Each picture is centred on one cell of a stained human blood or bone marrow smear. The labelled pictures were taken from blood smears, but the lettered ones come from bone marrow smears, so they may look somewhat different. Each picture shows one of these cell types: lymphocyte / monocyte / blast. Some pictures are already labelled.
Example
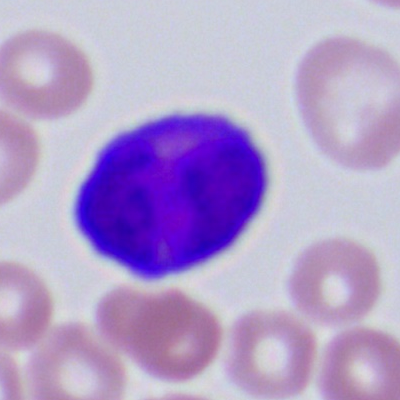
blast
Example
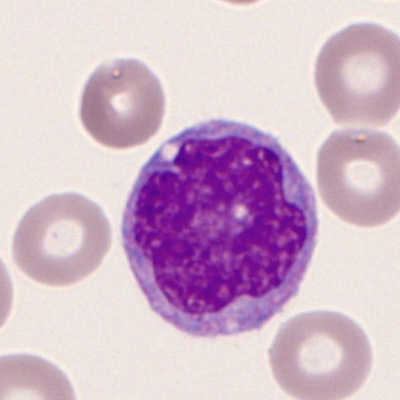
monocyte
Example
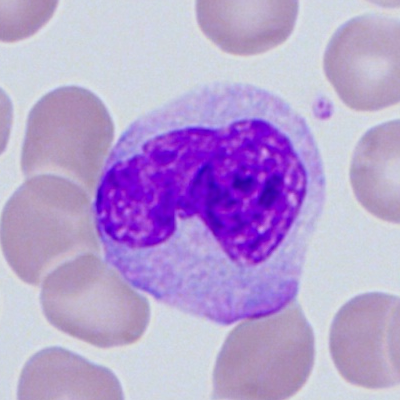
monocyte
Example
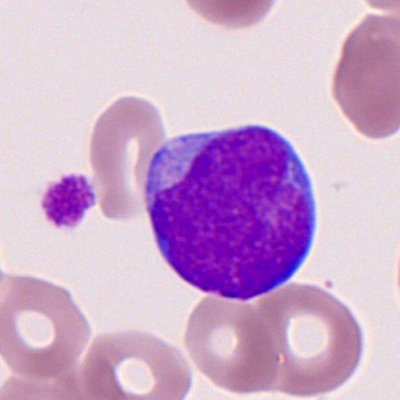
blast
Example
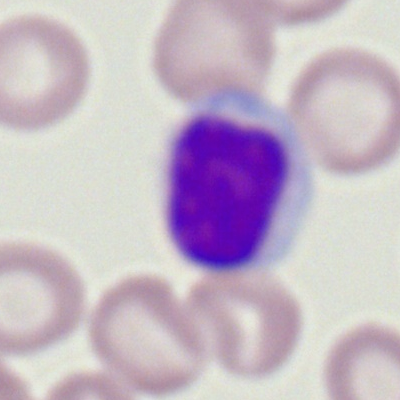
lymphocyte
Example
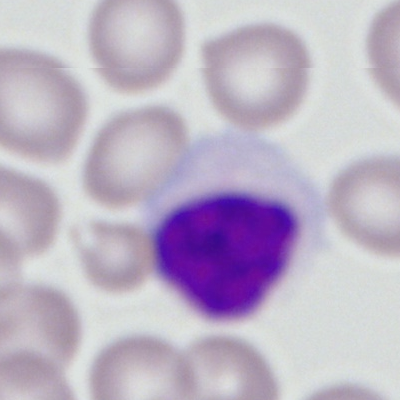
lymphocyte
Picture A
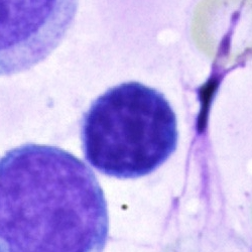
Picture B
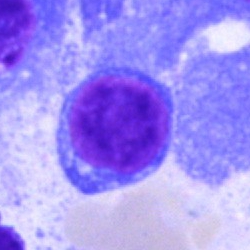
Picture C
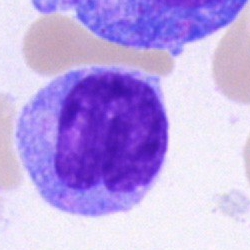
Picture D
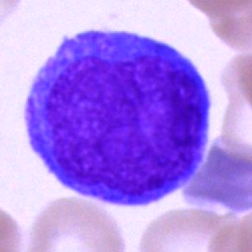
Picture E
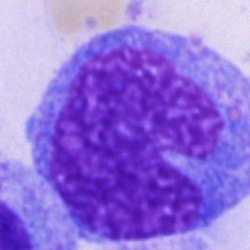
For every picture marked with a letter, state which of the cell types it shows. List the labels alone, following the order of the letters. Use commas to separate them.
lymphocyte, lymphocyte, monocyte, blast, monocyte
